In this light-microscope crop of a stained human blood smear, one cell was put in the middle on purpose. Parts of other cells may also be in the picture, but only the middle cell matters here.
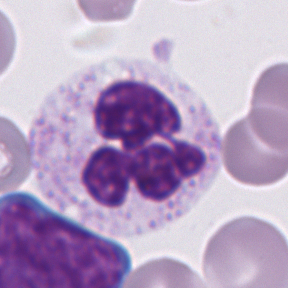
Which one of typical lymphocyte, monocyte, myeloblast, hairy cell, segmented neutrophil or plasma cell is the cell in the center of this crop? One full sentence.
The cell at the middle of the frame should be recorded as a segmented neutrophil.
